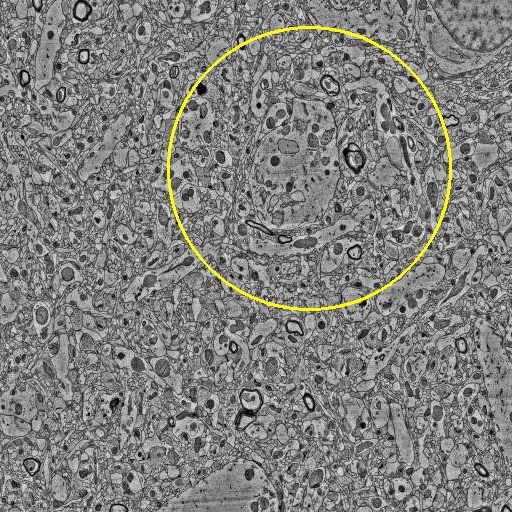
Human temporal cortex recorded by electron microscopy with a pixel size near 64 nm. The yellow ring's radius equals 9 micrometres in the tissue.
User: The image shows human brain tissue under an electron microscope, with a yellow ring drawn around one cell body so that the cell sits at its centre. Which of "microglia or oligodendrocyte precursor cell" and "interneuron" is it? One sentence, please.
At the centre of the ring sits an interneuron.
